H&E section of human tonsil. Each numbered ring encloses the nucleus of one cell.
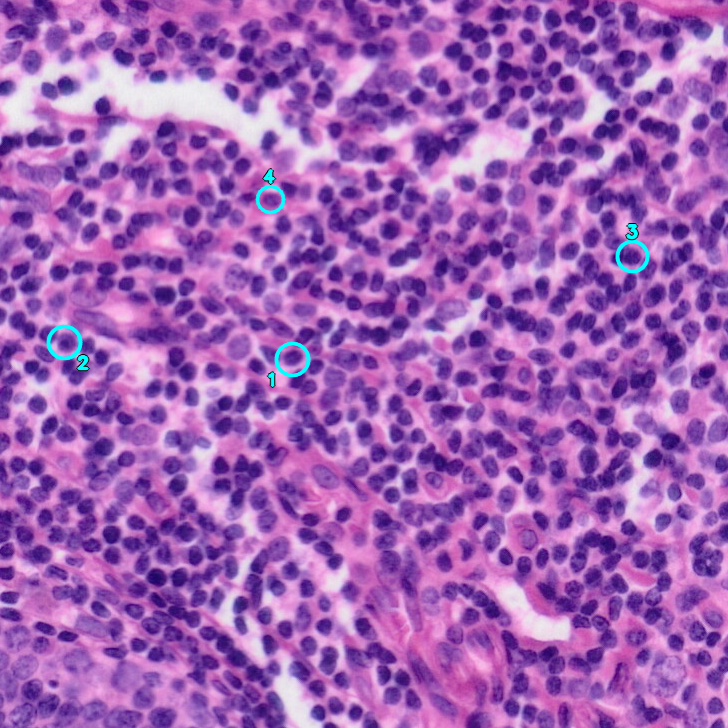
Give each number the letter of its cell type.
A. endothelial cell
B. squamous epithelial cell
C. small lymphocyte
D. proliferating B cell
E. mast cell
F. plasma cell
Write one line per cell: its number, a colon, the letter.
1: C
2: C
3: C
4: A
